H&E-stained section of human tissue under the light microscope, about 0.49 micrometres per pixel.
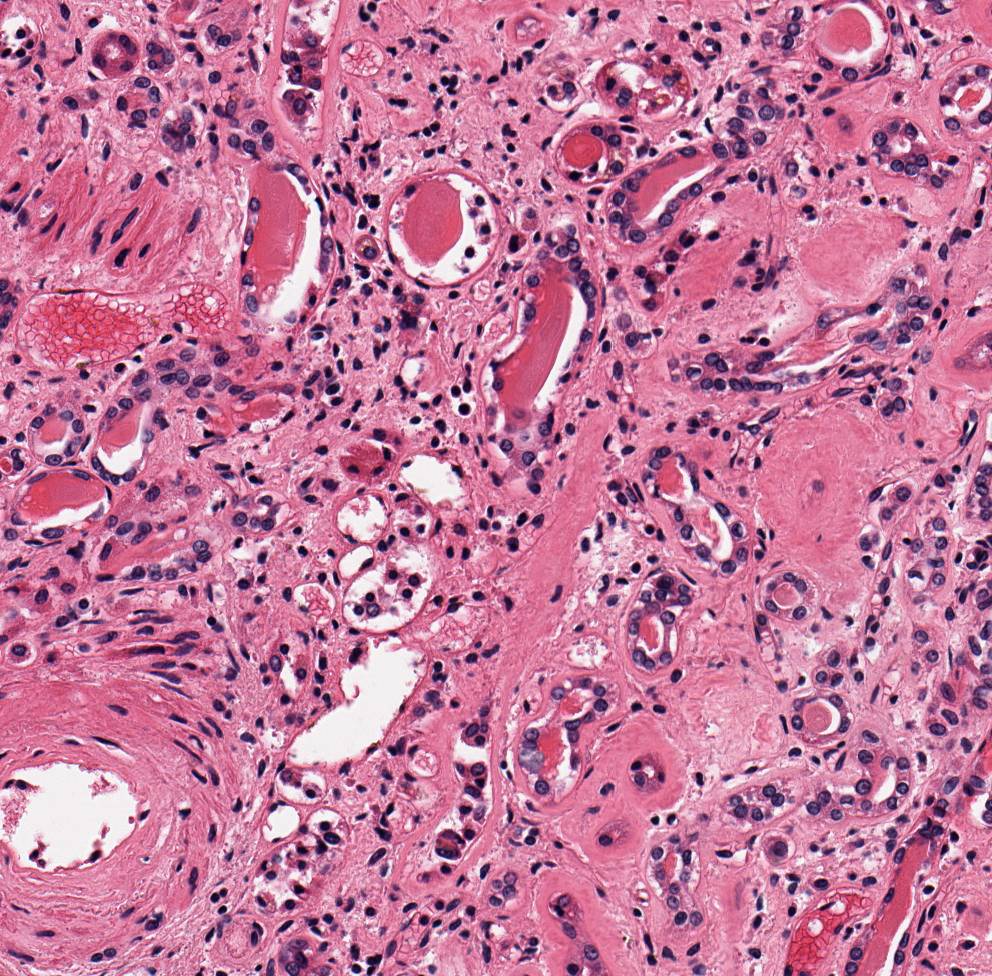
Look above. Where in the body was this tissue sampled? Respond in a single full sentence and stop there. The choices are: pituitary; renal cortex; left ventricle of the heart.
In this section is tissue sampled from the renal cortex.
